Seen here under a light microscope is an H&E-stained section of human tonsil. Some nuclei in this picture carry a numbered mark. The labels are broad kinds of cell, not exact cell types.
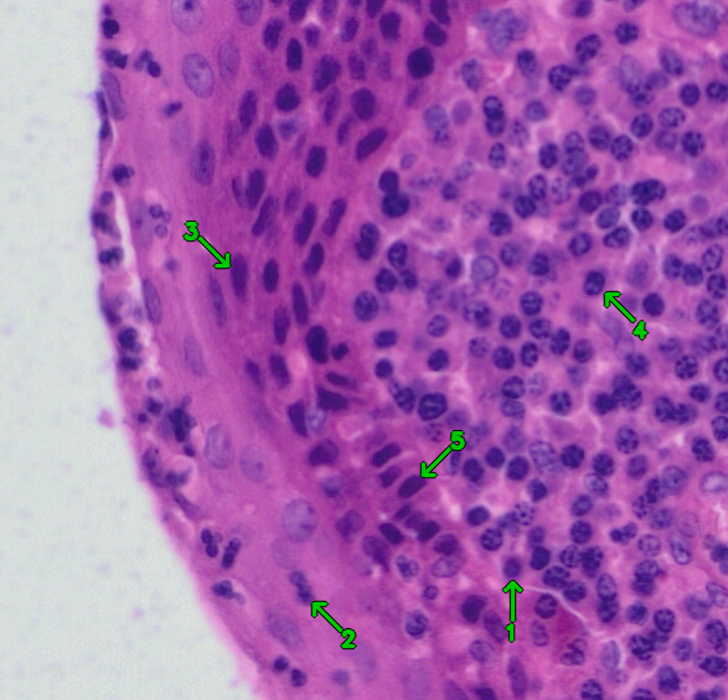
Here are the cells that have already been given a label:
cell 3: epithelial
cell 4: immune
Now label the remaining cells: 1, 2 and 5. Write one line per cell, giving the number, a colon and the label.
1: immune
2: epithelial
5: epithelial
